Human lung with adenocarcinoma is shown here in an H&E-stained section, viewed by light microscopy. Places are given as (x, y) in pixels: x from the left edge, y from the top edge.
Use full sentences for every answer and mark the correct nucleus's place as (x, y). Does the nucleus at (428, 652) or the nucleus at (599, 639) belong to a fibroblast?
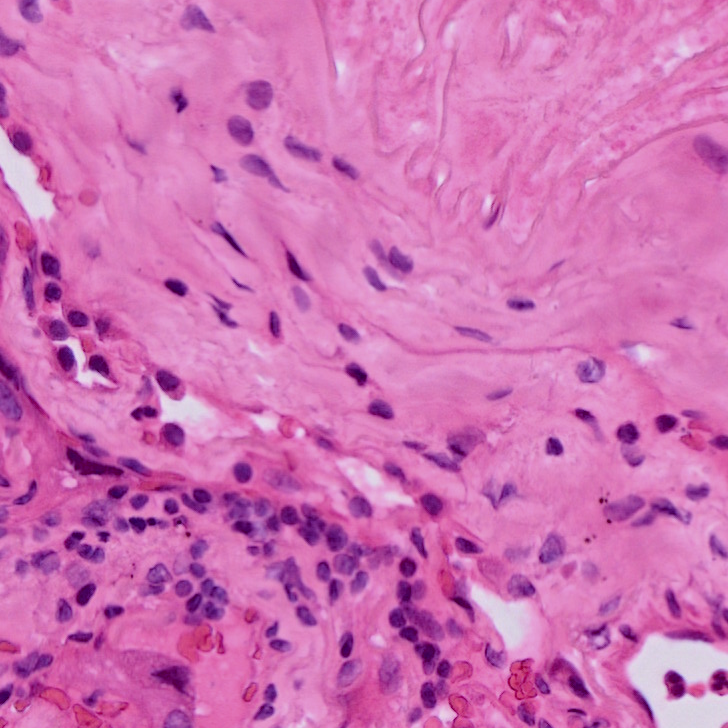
Rather than the other nucleus, the one at (599, 639) belongs to a fibroblast.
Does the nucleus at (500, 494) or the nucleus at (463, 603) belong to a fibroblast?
The nucleus at (500, 494) is assigned to a fibroblast.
